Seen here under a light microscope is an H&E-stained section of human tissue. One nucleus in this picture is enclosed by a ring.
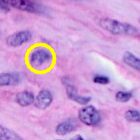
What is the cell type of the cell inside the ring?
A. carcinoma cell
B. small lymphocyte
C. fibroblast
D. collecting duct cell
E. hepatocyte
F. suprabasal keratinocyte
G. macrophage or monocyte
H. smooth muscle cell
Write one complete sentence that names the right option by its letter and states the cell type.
It is as option H has it, the cell inside the ring being a smooth muscle cell.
